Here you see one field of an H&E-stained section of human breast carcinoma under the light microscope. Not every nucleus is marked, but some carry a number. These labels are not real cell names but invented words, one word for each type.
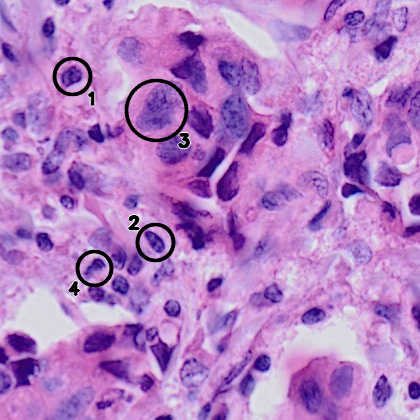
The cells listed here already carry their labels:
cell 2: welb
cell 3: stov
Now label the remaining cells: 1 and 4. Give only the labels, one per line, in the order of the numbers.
welb
welb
